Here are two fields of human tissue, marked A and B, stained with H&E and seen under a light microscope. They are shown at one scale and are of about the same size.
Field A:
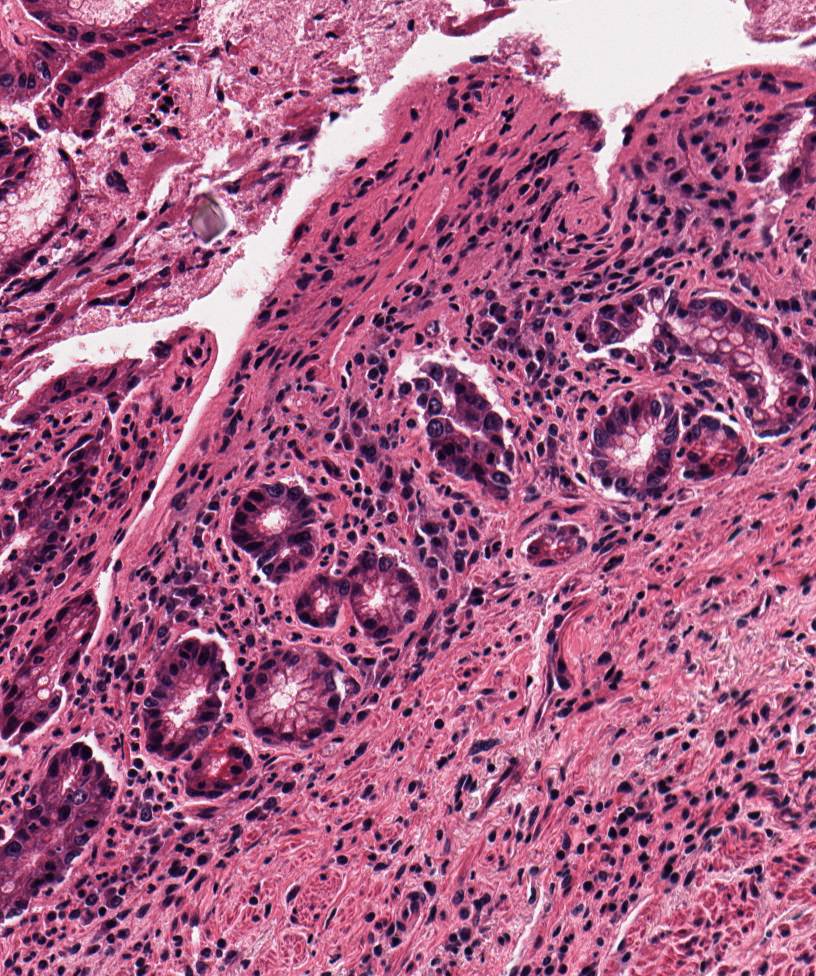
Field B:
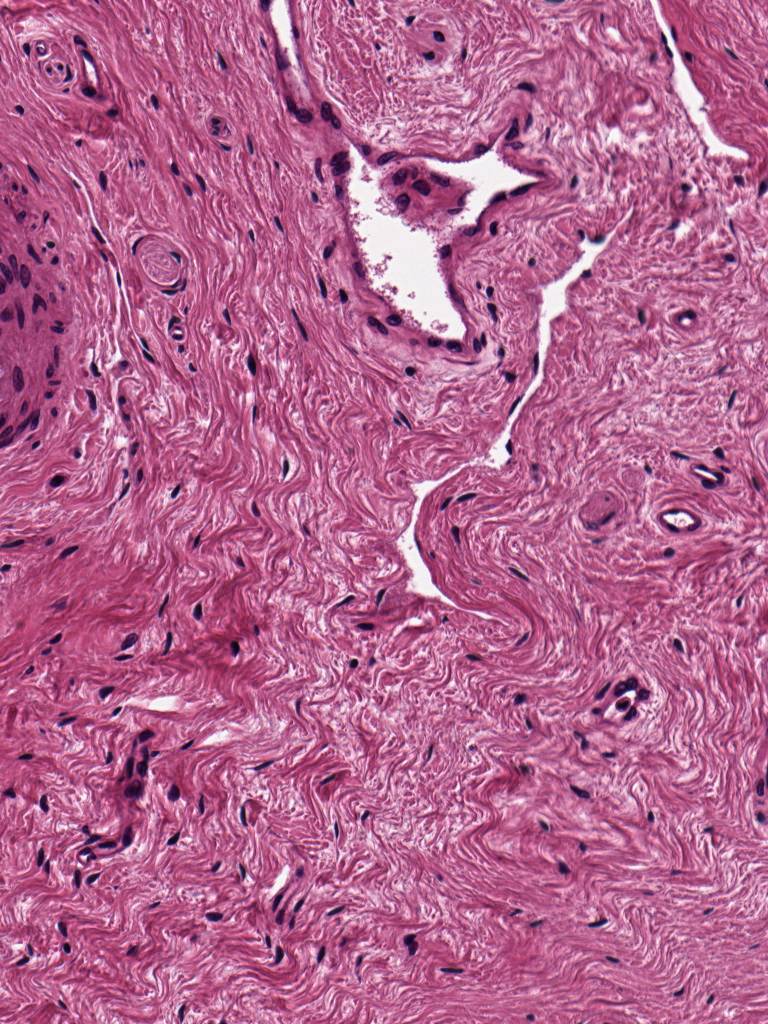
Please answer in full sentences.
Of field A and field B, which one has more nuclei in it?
The larger number of nuclei is in field A.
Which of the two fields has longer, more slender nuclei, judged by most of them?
The nuclei are more elongated in field B.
